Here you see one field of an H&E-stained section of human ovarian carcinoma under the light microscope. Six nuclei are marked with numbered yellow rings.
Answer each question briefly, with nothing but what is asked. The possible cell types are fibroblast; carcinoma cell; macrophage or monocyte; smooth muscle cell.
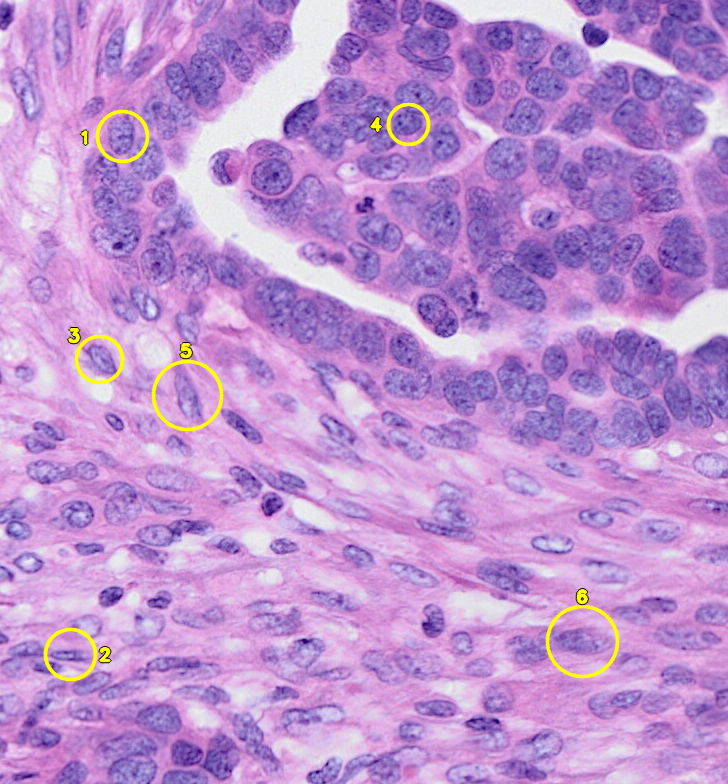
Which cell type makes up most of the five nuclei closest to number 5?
fibroblast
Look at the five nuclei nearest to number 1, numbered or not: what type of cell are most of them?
carcinoma cell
